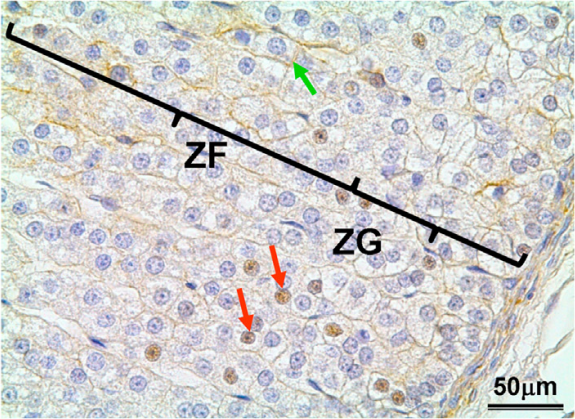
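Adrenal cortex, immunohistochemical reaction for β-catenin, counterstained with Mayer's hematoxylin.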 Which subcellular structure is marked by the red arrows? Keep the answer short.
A: Nuclear.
